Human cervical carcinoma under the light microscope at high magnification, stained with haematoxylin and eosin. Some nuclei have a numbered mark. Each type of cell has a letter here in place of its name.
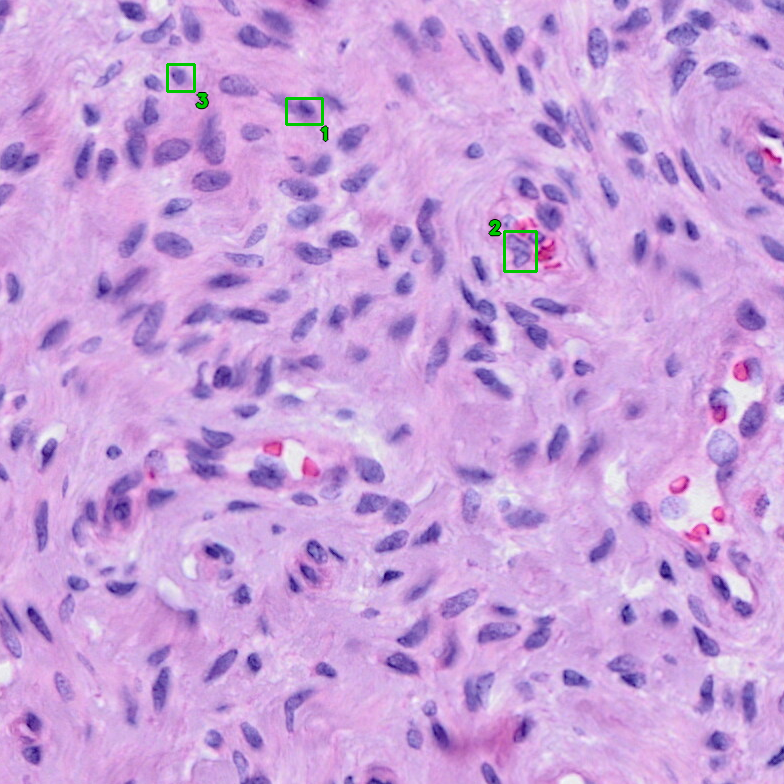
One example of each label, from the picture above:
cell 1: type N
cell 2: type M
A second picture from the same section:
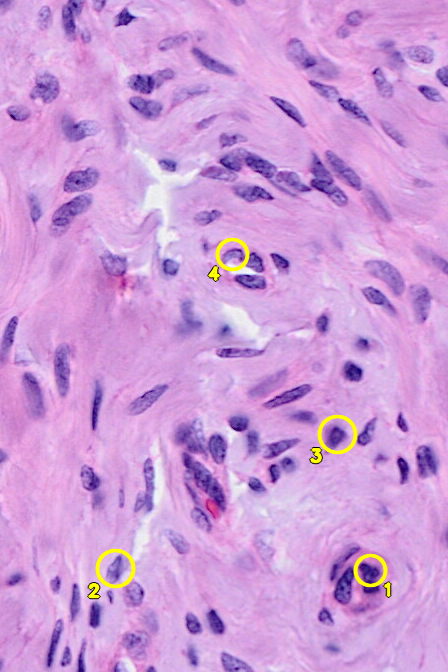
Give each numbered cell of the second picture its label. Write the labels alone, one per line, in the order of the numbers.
type M
type N
type N
type M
